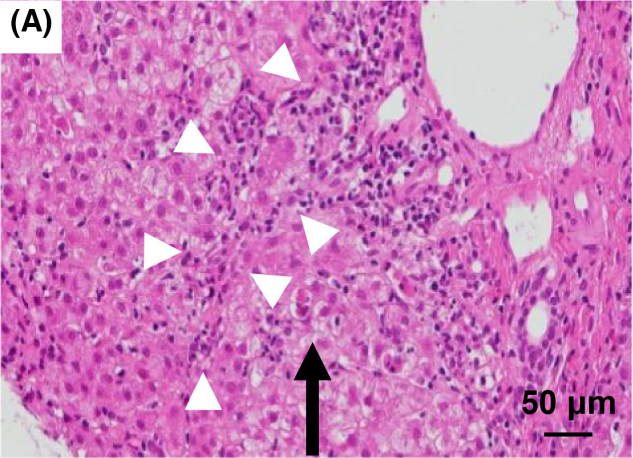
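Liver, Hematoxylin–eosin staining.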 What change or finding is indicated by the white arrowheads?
Interface hepatitis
